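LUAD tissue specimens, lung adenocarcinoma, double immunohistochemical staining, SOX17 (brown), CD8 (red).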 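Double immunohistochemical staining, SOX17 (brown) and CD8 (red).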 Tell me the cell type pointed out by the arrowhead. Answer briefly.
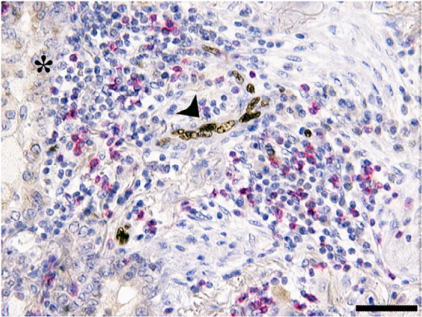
tumor endothelial cells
